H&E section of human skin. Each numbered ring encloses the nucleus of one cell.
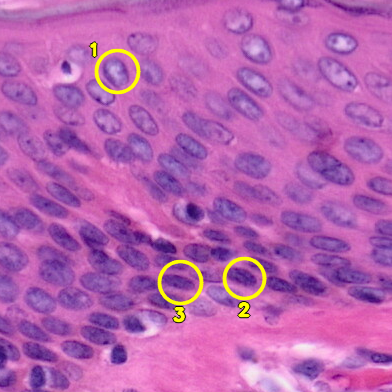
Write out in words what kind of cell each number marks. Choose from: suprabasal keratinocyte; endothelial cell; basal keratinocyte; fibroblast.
Cell 1 is a suprabasal keratinocyte. Cells 2 and 3 are basal keratinocytes.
